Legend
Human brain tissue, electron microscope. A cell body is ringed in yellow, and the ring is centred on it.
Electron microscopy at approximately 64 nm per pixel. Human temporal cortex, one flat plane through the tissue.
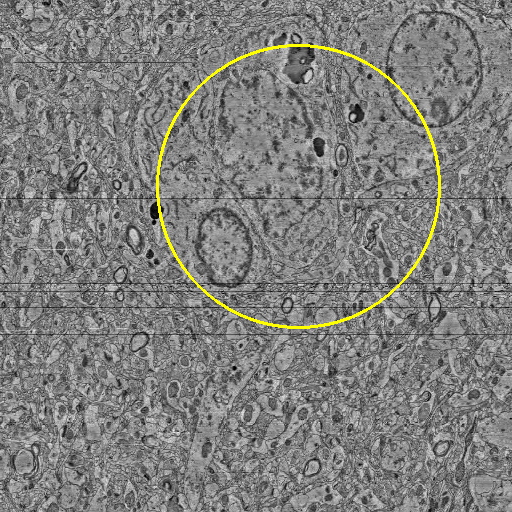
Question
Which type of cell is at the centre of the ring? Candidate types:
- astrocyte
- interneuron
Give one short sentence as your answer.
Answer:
The yellow ring is centred here on an interneuron.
